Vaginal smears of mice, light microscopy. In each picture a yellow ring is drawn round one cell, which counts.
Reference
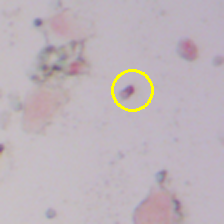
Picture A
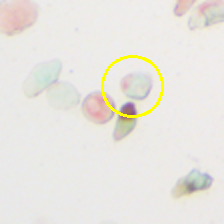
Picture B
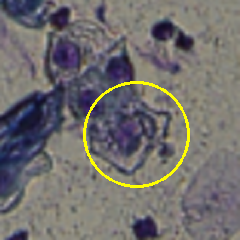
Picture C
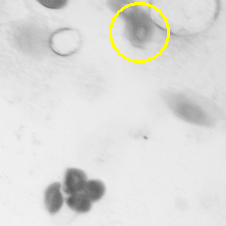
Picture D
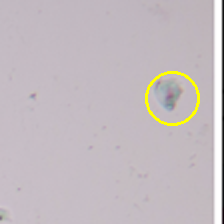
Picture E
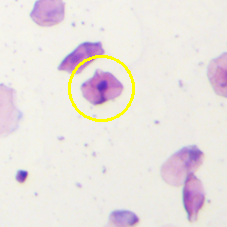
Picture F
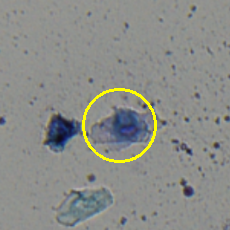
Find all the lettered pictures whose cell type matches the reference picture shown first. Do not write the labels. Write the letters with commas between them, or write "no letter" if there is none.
no letter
